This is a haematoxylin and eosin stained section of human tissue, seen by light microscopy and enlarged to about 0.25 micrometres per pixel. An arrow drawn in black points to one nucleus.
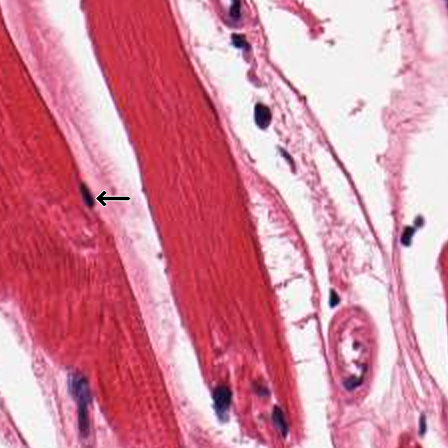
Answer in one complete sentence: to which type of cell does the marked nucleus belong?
The marked nucleus is that of a skeletal muscle fibre in this section.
